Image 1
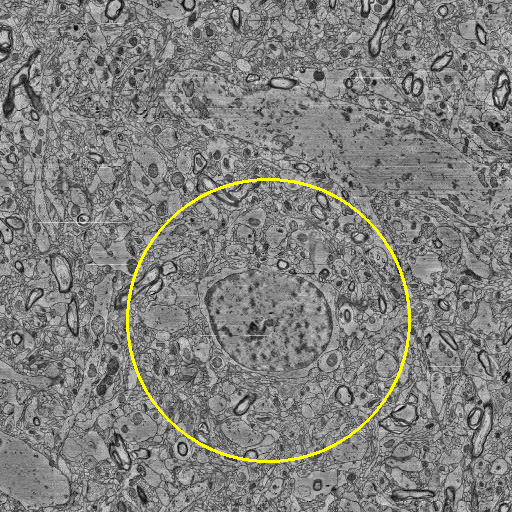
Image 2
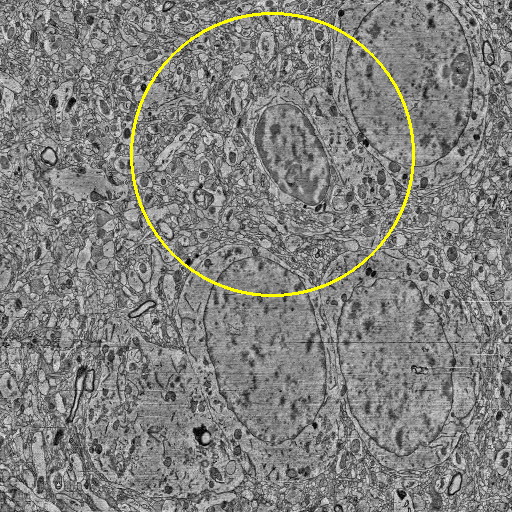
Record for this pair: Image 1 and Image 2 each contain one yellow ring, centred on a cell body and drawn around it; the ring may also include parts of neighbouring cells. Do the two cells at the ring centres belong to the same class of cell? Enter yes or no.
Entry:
yes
